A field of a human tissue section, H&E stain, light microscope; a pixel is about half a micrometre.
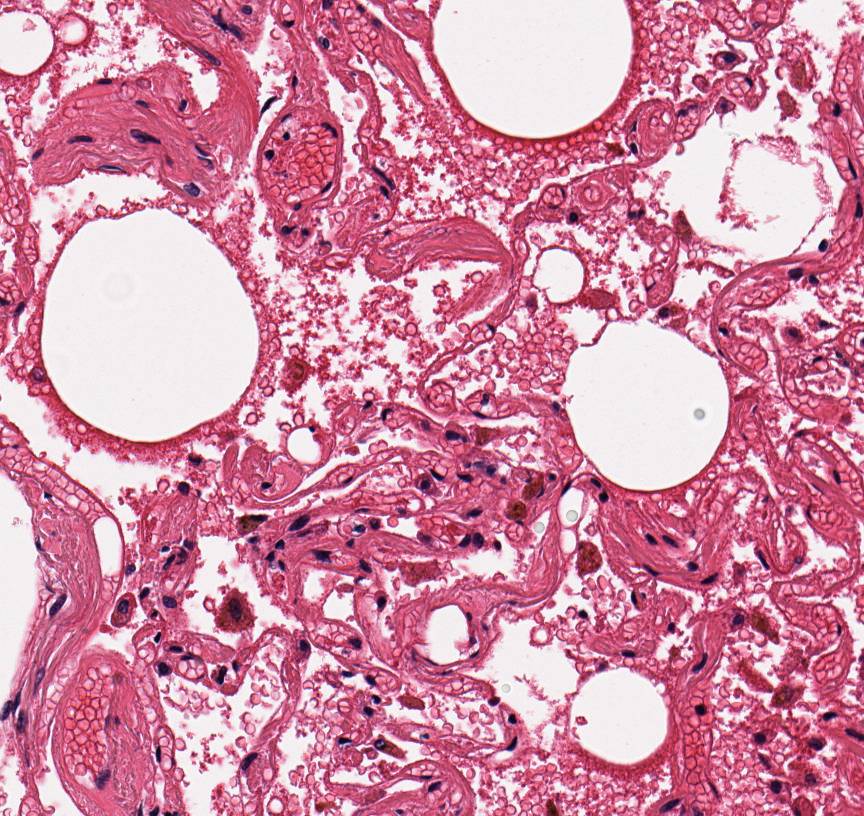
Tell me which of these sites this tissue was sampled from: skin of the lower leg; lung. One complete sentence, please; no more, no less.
The source of this tissue sample is the lung.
